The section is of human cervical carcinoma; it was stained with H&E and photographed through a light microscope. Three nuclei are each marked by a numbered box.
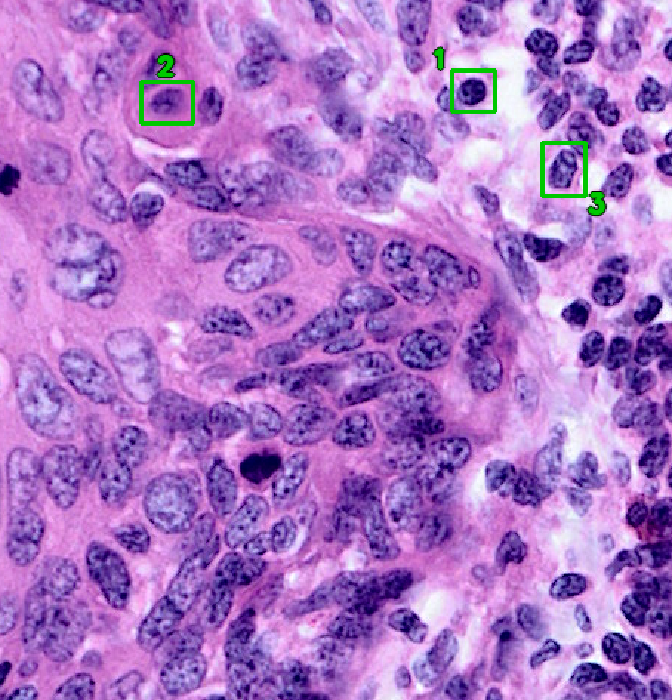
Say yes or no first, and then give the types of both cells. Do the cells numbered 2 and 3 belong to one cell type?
No, cell 2 is a squamous carcinoma cell, and cell 3, on the other hand, is a lymphocyte.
